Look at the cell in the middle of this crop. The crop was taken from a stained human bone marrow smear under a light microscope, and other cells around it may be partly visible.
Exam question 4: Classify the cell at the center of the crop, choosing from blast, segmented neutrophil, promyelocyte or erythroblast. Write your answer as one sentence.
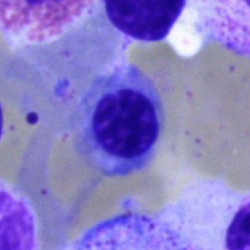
Present in the middle of the crop is an erythroblast.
